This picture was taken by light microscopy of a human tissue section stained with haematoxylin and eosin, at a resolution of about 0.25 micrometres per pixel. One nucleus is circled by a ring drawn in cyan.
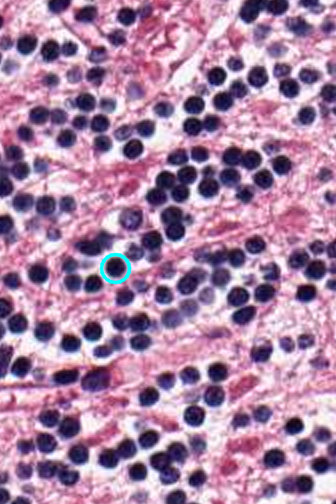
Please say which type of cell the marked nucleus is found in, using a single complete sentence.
The marked nucleus is a nucleus of a cerebellar granule cell.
